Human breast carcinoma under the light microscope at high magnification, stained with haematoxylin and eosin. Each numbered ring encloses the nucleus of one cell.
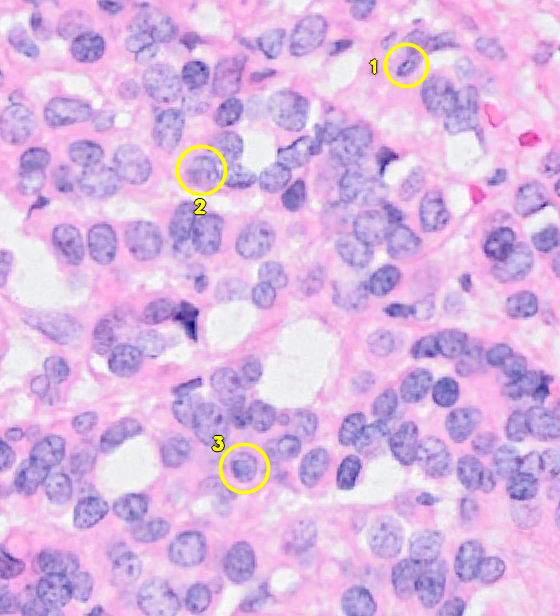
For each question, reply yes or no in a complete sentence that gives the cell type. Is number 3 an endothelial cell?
No, the cell carrying number 3 is a carcinoma cell, not an endothelial cell.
